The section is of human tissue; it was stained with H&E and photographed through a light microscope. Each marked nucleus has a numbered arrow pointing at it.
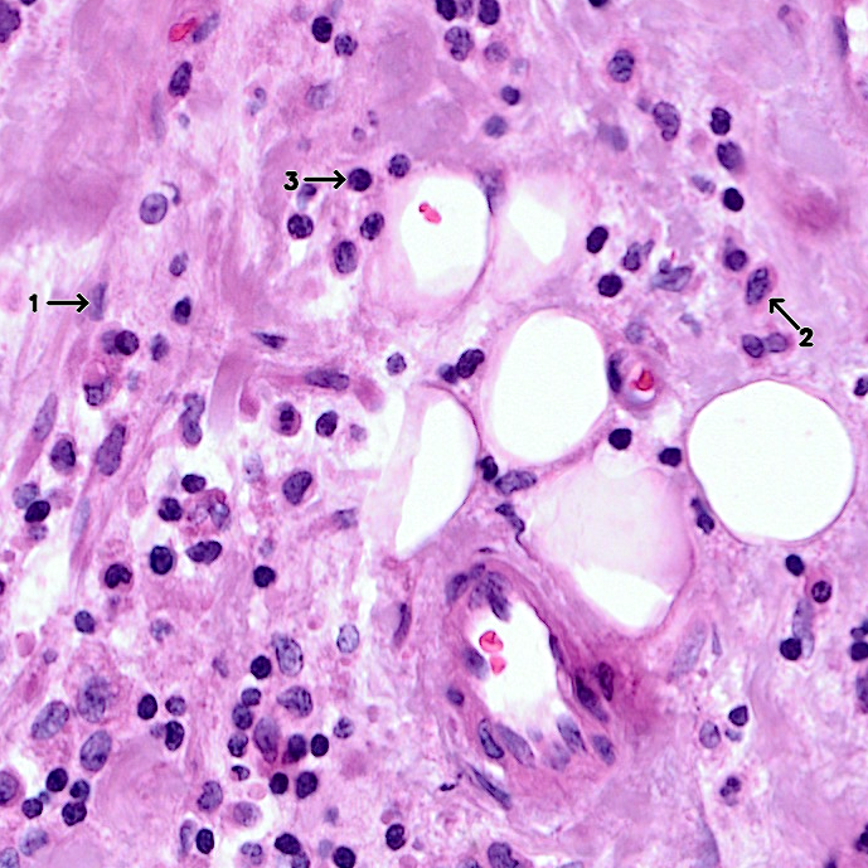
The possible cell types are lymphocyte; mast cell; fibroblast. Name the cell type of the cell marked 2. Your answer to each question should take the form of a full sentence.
Cell 2 should be recorded as a mast cell.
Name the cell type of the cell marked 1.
The marked cell bearing number 1 is a fibroblast.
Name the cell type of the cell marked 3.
Identified by the number 3, the cell is a lymphocyte.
